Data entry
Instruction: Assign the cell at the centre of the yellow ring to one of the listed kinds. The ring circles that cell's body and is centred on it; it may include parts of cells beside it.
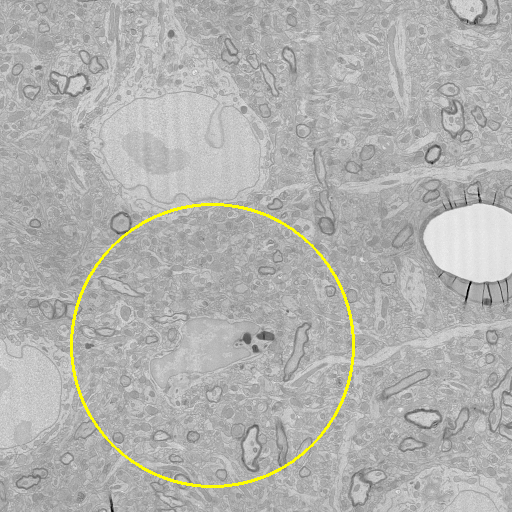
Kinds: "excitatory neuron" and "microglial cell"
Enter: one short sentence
The centre of the ring falls on a microglial cell.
